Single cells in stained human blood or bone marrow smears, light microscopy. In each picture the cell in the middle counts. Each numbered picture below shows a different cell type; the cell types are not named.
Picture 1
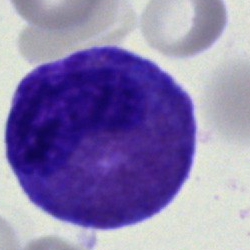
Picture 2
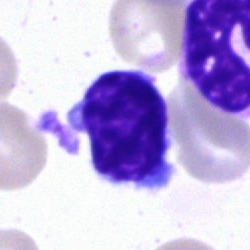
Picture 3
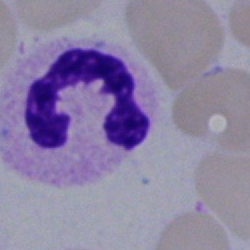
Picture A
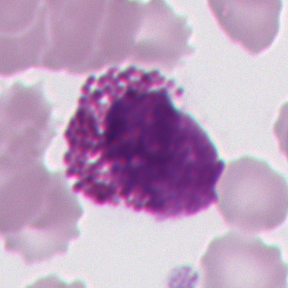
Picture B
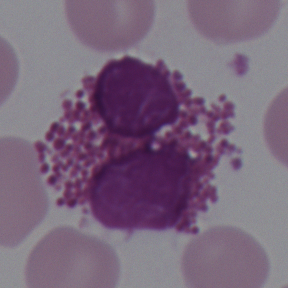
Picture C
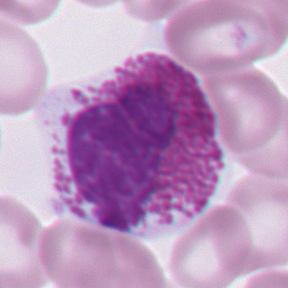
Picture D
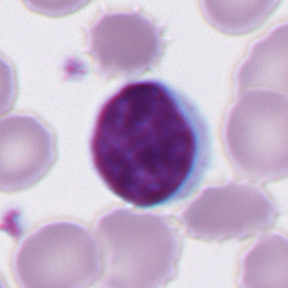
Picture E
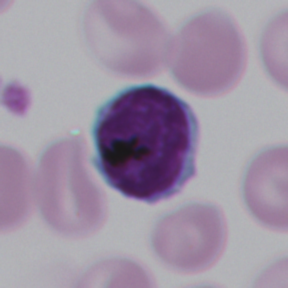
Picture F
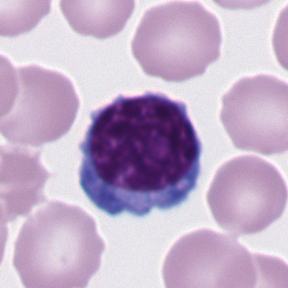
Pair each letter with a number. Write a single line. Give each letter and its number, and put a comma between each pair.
A 1, B 1, C 1, D 2, E 2, F 2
